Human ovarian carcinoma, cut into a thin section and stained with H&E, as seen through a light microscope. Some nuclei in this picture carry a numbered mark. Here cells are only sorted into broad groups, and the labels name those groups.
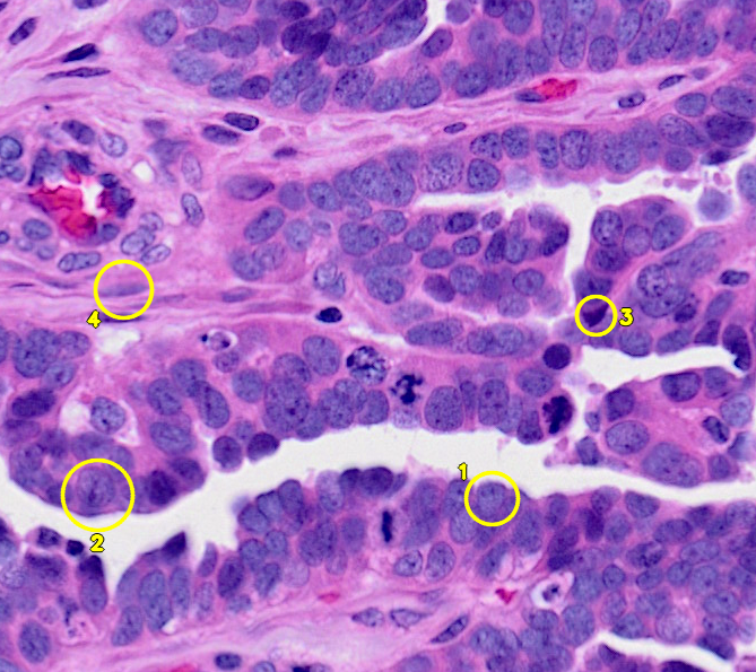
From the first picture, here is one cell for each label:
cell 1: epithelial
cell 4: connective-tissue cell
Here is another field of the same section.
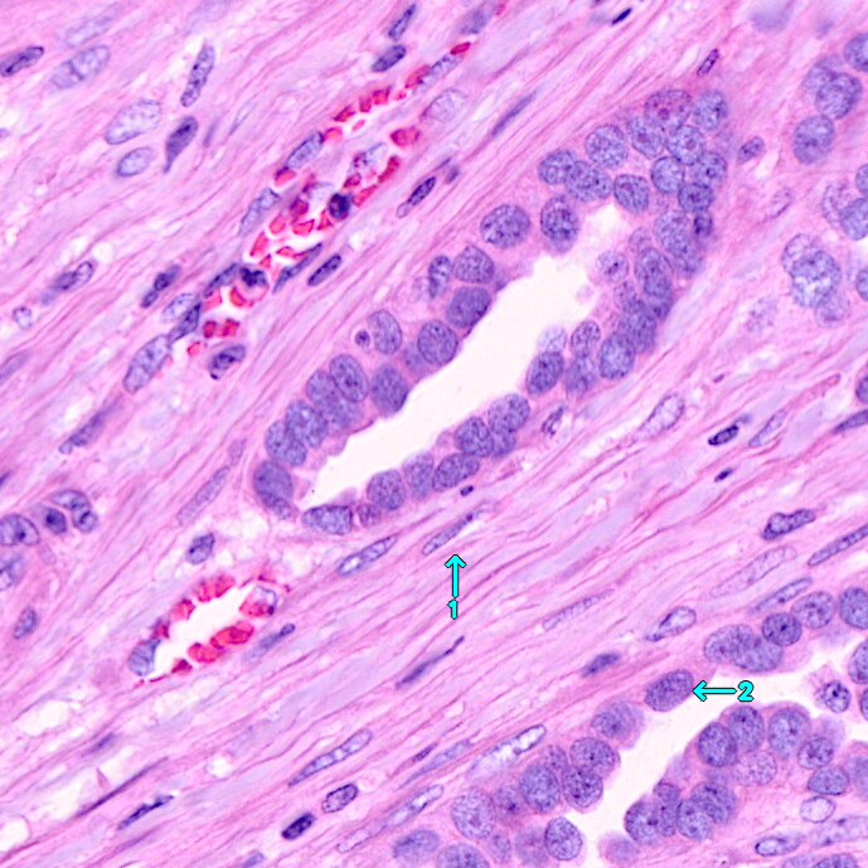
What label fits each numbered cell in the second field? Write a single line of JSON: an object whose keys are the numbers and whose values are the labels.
{"1": "connective-tissue cell", "2": "epithelial"}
